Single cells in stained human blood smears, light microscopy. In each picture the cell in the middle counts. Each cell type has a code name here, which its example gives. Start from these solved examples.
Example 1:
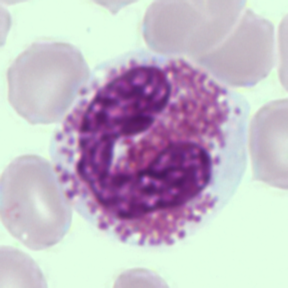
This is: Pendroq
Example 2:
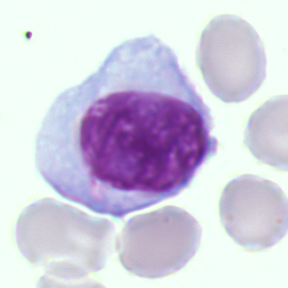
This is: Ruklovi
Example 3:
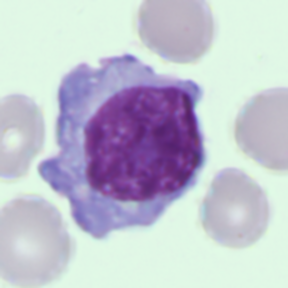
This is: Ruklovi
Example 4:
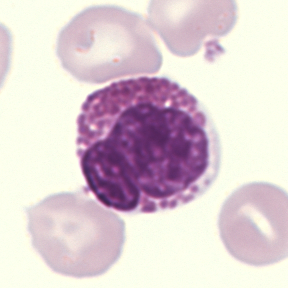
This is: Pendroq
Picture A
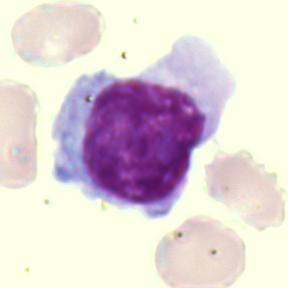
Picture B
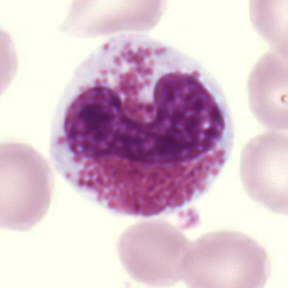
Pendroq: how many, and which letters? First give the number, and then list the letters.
Count: 1 (B)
